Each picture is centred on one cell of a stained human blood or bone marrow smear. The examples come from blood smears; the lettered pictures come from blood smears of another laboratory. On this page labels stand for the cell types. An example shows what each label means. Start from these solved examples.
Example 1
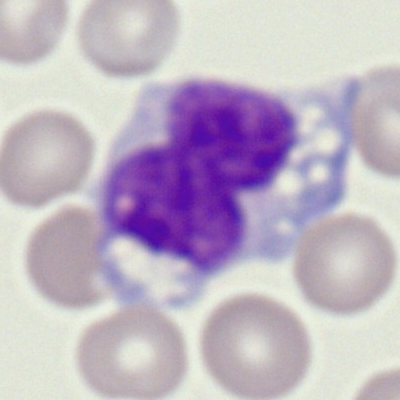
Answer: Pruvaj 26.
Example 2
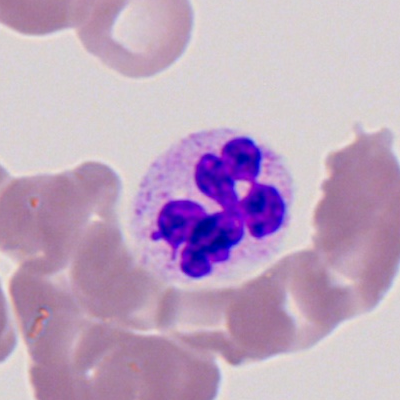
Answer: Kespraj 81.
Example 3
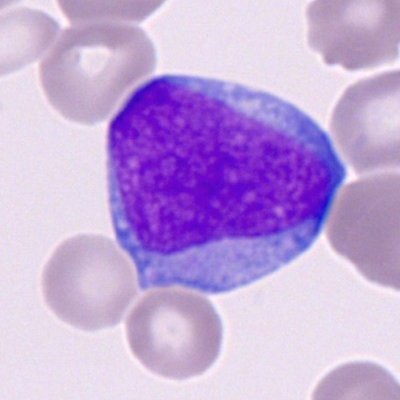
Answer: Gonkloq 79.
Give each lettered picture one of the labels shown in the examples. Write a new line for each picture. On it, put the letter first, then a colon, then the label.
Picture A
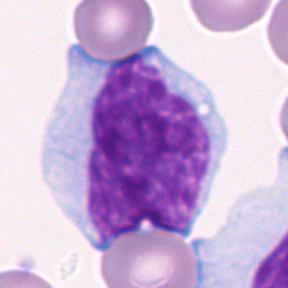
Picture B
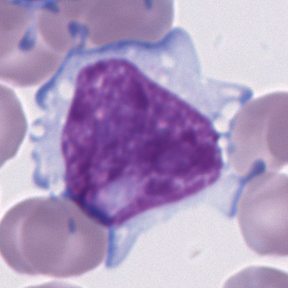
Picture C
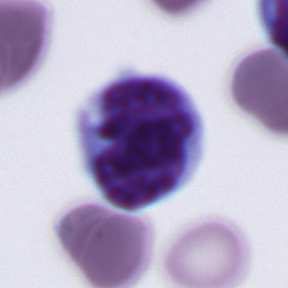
A: Gonkloq 79.
B: Gonkloq 79.
C: Pruvaj 26.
